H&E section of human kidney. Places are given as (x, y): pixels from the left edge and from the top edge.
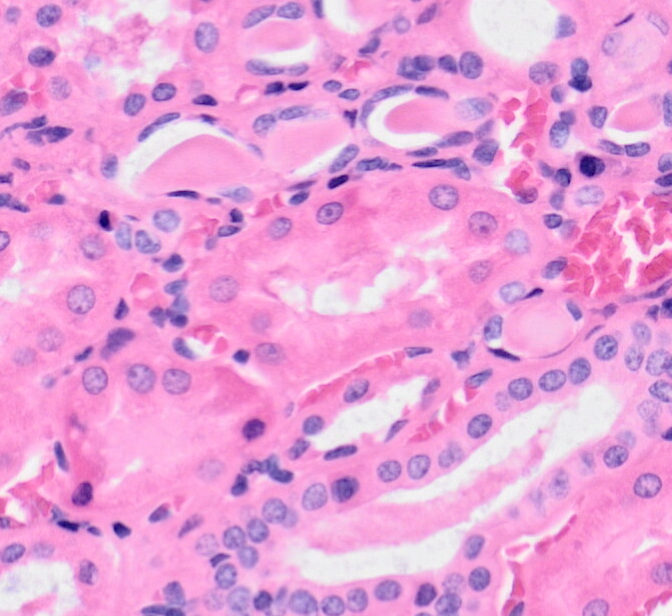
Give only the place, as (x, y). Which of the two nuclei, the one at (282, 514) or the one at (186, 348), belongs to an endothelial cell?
(186, 348)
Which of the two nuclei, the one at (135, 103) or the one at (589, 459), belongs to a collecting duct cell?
(589, 459)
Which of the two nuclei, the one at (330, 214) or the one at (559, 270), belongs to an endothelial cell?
(559, 270)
